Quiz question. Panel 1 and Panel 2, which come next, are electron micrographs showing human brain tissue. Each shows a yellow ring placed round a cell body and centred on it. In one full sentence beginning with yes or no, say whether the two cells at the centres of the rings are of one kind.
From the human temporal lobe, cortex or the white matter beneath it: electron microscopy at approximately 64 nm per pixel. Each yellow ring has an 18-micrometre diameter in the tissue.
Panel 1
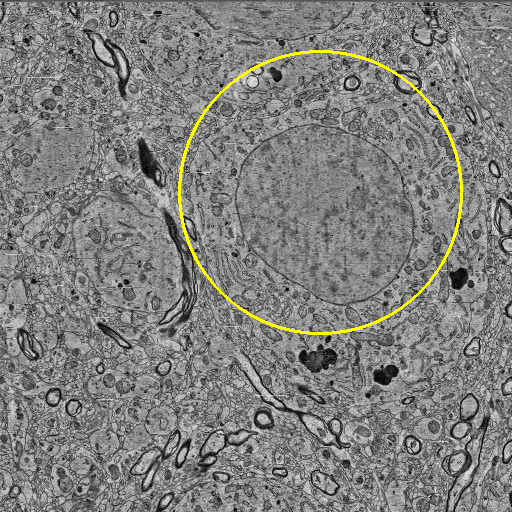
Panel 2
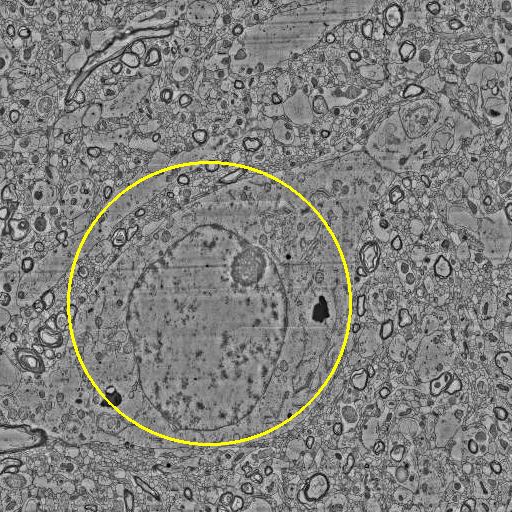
Yes, Panel 1 and Panel 2 show one kind of cell at the centre of the ring.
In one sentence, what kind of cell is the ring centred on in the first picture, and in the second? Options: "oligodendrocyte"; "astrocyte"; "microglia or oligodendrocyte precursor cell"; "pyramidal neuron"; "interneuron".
Each of the two cells is an interneuron.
